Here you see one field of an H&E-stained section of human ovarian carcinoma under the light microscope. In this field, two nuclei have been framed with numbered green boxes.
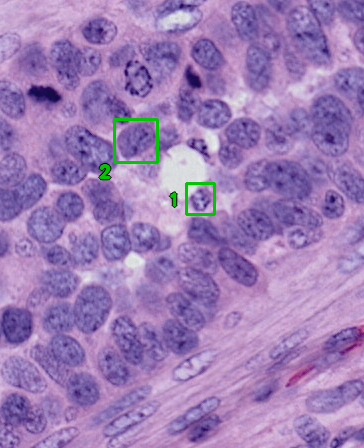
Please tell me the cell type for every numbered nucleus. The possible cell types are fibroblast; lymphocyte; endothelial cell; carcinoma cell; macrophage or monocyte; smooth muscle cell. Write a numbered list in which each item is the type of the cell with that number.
1. macrophage or monocyte
2. carcinoma cell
